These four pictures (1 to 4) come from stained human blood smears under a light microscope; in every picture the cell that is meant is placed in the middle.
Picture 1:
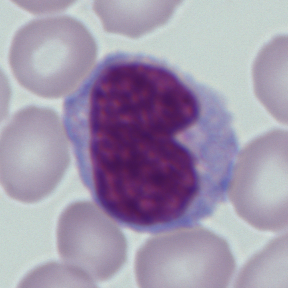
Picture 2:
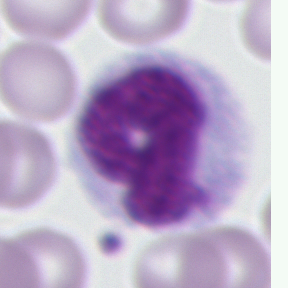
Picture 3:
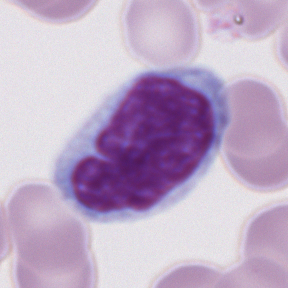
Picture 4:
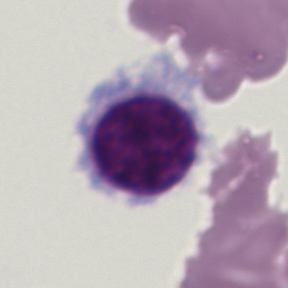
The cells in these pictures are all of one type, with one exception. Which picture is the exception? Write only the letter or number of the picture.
4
